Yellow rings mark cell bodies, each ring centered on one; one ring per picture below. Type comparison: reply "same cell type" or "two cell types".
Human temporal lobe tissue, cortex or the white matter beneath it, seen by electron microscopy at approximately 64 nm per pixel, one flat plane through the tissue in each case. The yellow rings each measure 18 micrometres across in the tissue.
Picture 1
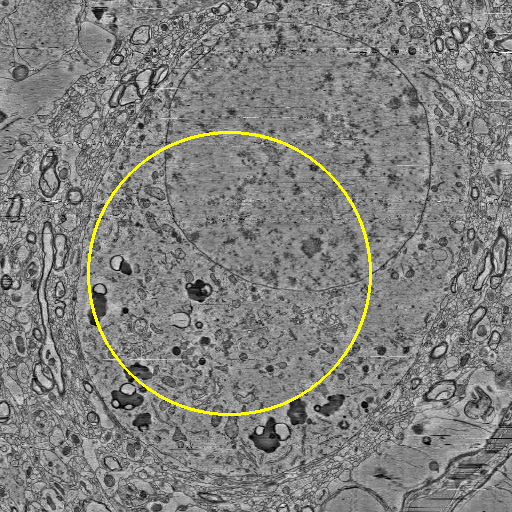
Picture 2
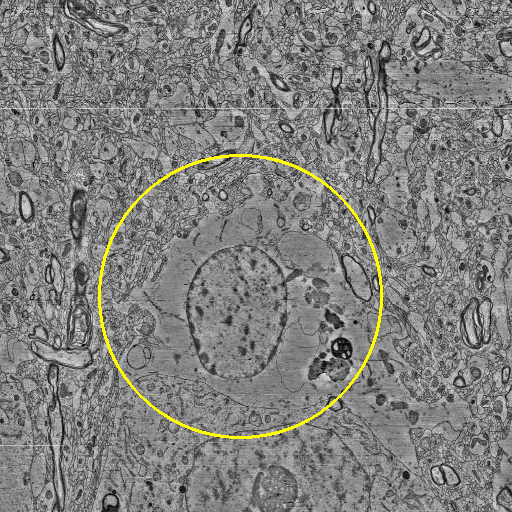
two cell types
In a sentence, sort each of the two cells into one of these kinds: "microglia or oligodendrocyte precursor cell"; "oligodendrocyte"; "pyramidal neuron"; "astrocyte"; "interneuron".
The first of the two cells is a pyramidal neuron, and the second is an astrocyte.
